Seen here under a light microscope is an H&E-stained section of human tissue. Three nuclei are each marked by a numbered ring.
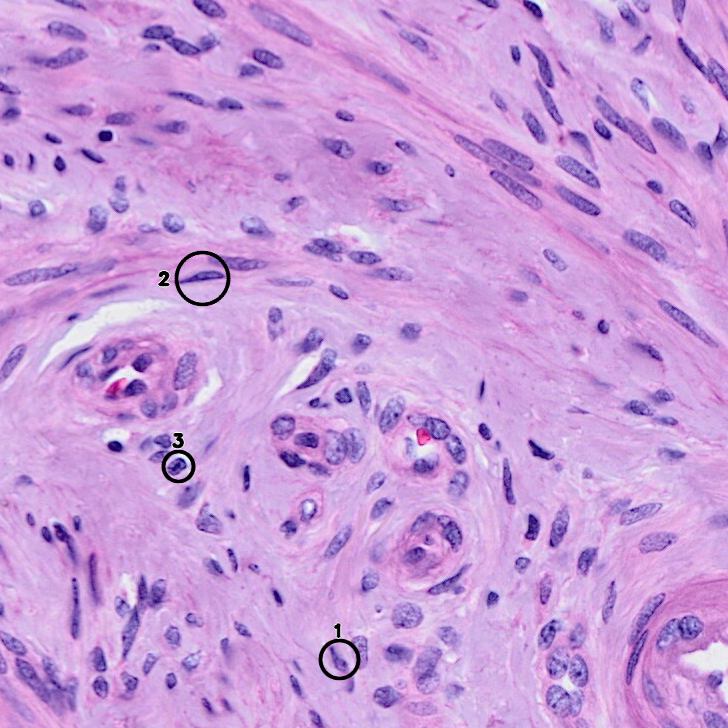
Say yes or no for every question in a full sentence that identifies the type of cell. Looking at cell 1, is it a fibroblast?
Yes, the cell carrying label 1 is a fibroblast.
